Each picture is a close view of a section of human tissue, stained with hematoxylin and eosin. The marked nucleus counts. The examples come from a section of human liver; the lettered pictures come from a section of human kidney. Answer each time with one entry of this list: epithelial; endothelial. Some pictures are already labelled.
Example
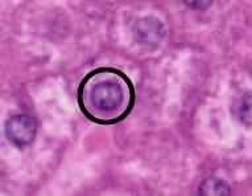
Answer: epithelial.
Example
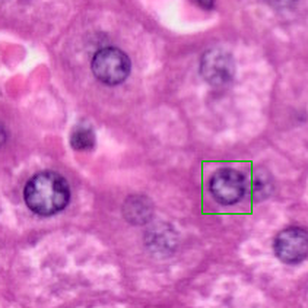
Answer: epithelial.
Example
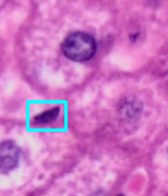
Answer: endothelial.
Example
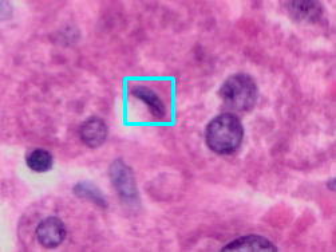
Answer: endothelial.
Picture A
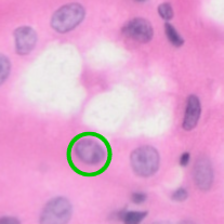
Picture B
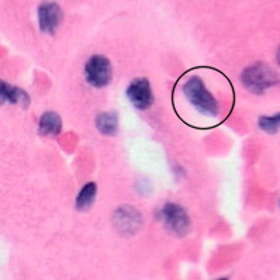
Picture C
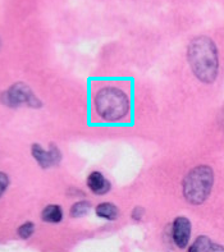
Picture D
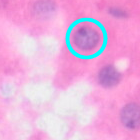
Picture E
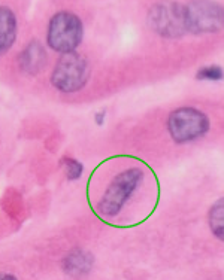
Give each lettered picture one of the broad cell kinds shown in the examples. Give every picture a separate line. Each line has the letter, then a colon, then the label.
A: epithelial.
B: endothelial.
C: epithelial.
D: epithelial.
E: epithelial.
